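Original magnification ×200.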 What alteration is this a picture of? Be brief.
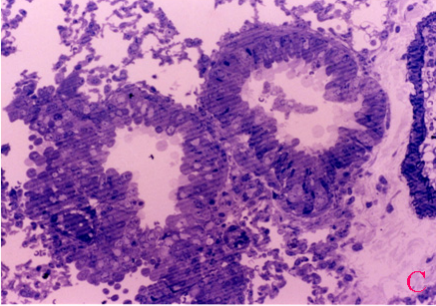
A: Markedly increased number of goblet cells.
